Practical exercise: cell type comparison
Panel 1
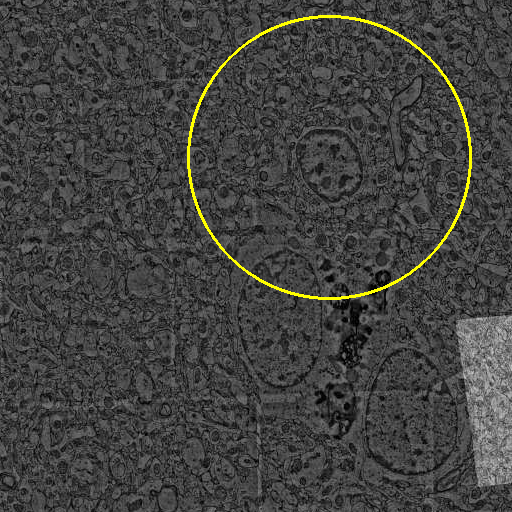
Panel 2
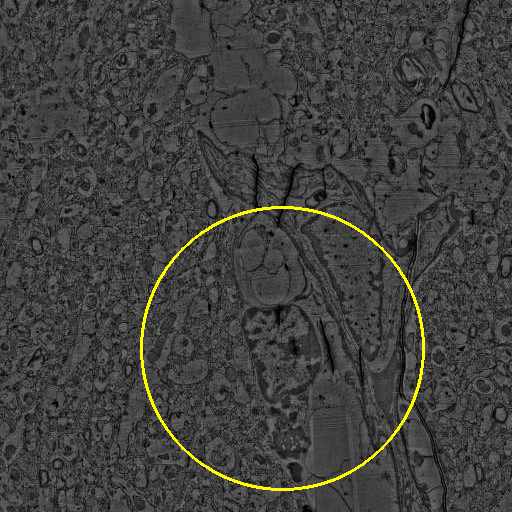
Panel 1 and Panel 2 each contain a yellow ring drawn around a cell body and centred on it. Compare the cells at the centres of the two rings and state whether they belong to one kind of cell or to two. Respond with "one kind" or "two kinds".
one kind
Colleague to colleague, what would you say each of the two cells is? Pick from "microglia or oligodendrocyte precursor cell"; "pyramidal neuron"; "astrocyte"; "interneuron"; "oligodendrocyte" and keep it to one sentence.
The cell in the first picture is a microglial cell or oligodendrocyte precursor cell, and so is the one in the second.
